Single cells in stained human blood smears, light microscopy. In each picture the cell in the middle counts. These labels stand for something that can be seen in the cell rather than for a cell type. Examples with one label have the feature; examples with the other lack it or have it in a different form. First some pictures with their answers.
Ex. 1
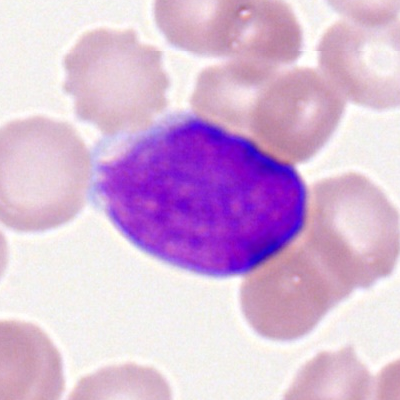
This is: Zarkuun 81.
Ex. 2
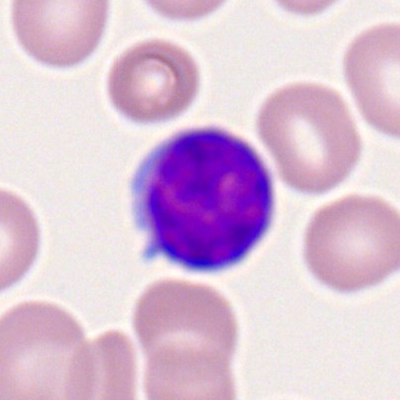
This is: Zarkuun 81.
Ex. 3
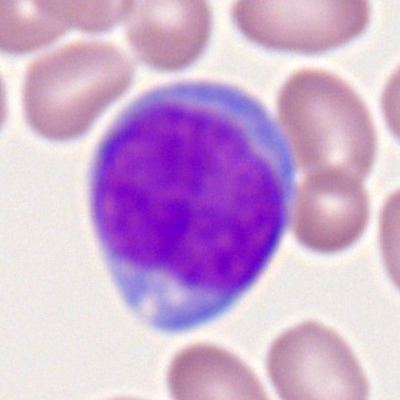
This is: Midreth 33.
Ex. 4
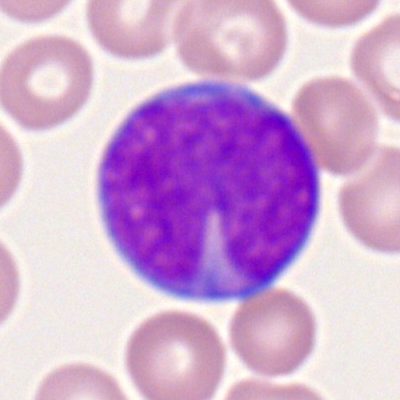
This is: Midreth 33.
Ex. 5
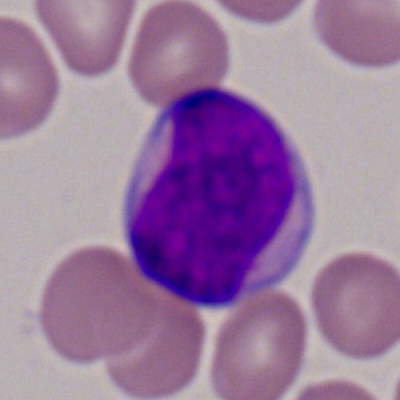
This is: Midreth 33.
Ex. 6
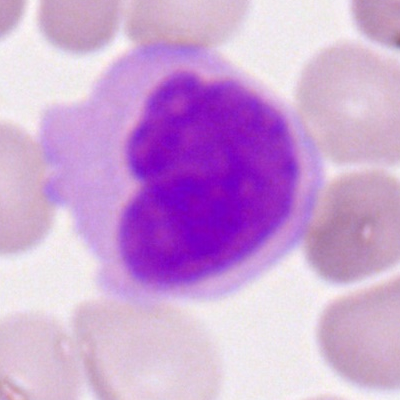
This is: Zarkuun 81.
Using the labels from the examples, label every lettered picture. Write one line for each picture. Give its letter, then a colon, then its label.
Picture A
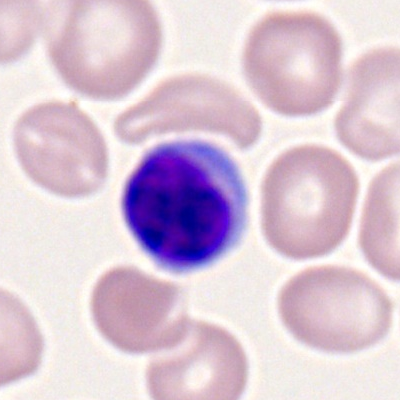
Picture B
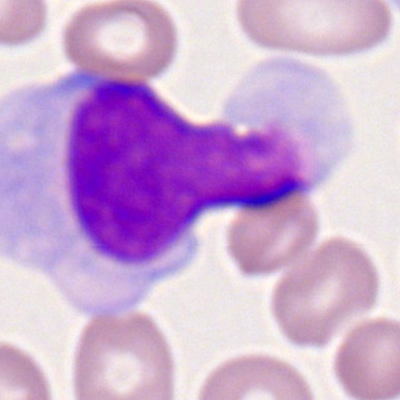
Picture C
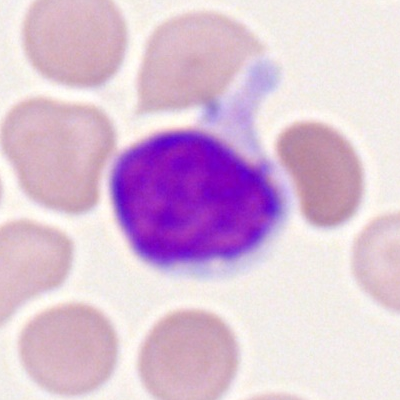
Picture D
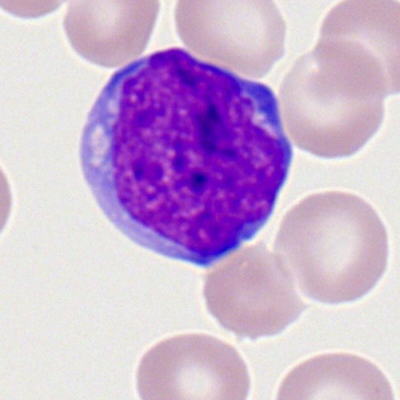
A: Midreth 33.
B: Zarkuun 81.
C: Zarkuun 81.
D: Midreth 33.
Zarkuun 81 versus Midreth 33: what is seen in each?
Zarkuun 81, ragged outline or projections; Midreth 33, smooth outline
